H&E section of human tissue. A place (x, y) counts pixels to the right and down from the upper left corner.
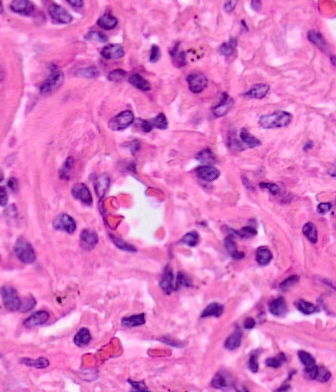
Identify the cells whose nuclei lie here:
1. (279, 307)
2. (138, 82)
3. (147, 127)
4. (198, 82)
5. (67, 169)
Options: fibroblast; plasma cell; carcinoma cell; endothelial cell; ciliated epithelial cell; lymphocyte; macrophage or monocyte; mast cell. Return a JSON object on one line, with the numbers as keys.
{"1": "lymphocyte", "2": "plasma cell", "3": "lymphocyte", "4": "plasma cell", "5": "plasma cell"}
